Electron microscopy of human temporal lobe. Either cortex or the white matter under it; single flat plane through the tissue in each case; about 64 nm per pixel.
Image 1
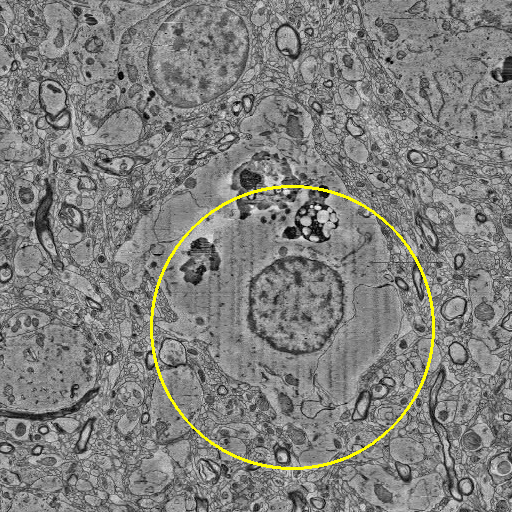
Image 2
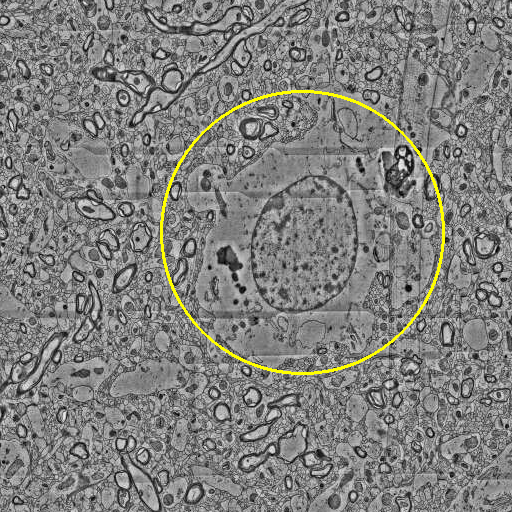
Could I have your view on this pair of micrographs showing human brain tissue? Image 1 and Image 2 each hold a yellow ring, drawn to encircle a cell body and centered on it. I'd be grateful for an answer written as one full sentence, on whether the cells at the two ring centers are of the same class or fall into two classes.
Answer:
The cells at the centers of the two rings are of the same class.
